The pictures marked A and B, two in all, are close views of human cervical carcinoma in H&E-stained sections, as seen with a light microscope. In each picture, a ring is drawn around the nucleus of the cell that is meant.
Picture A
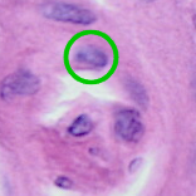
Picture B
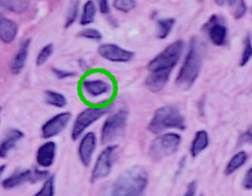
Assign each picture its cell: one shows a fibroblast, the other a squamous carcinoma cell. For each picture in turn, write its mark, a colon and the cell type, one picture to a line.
A: squamous carcinoma cell
B: fibroblast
